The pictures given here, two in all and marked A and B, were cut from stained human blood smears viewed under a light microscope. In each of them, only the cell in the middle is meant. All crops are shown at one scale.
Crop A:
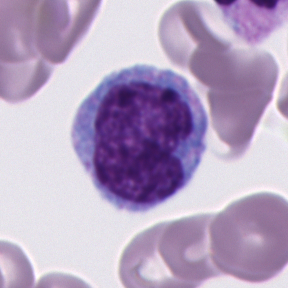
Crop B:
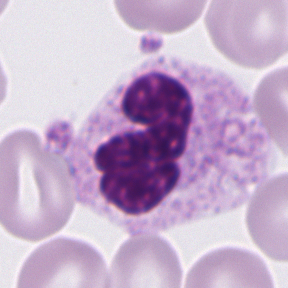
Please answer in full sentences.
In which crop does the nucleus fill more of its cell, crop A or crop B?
It is the cell in crop A that is filled more by its nucleus.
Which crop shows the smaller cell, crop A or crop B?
Crop A holds the smaller cell, since the cell in crop B covers about 1.5 times as much area.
